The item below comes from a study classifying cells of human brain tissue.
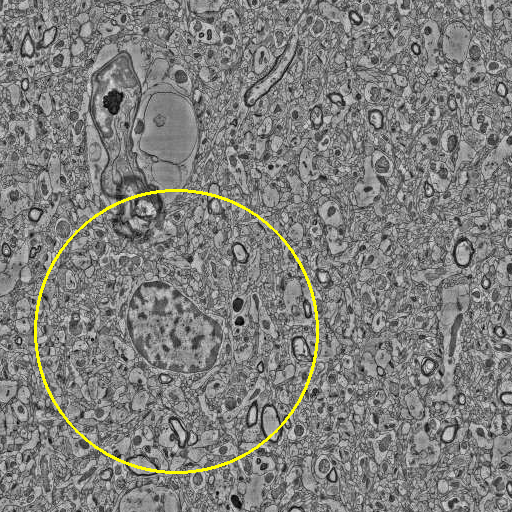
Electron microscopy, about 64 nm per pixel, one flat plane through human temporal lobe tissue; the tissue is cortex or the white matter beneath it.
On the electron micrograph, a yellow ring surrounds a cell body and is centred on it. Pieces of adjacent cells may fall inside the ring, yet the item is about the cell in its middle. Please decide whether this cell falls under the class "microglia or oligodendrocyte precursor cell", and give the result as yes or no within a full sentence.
Yes, the cell at the middle of the ring on the micrograph belongs in that class.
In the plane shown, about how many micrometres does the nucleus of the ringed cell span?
Roughly 7 micrometres by 5 micrometres, in this plane.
